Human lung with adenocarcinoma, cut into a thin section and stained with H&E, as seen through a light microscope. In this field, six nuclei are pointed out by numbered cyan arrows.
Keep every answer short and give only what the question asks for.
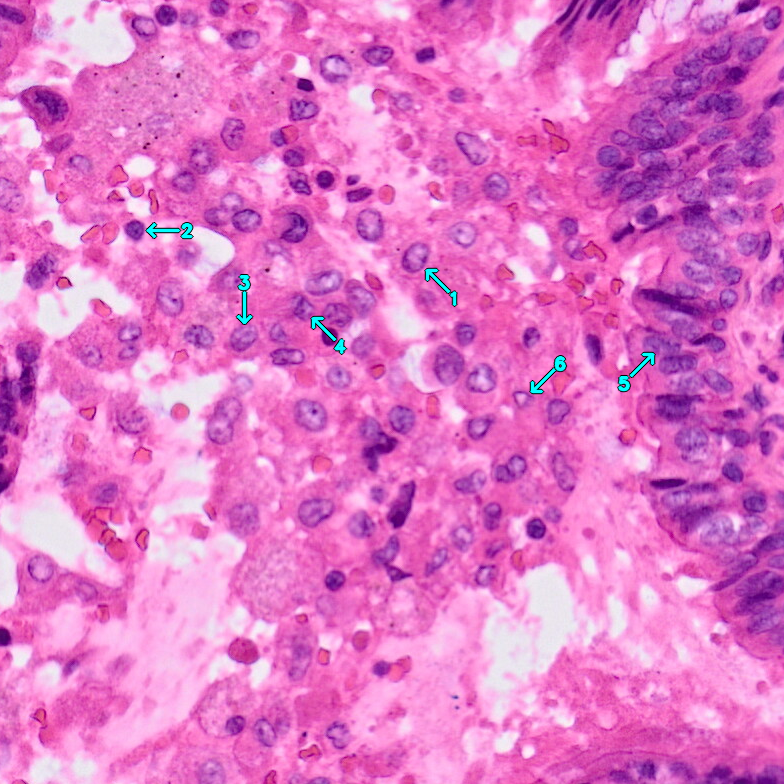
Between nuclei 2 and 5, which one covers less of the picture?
2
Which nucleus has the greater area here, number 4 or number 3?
3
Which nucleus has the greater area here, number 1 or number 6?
1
